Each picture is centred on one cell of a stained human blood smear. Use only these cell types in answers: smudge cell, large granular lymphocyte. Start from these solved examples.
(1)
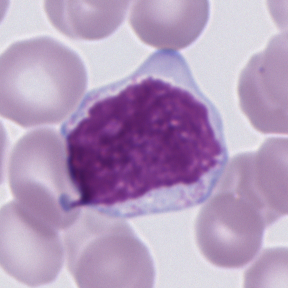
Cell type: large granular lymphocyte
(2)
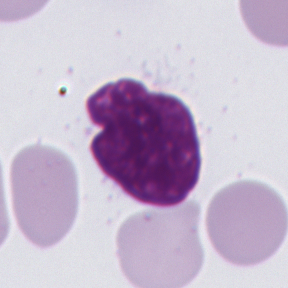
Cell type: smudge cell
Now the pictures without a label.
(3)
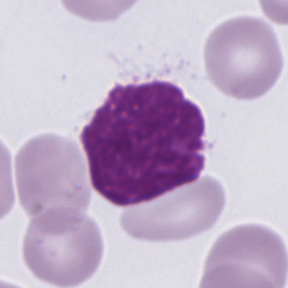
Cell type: smudge cell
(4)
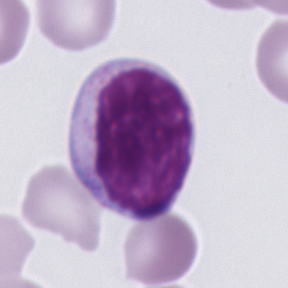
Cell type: large granular lymphocyte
